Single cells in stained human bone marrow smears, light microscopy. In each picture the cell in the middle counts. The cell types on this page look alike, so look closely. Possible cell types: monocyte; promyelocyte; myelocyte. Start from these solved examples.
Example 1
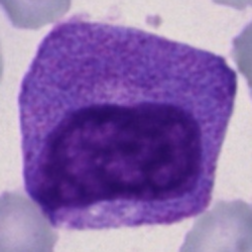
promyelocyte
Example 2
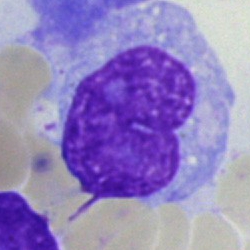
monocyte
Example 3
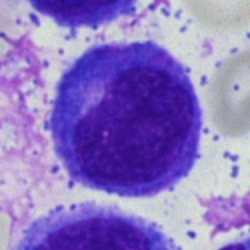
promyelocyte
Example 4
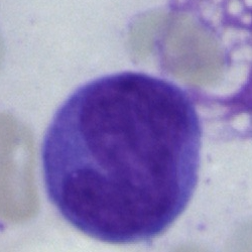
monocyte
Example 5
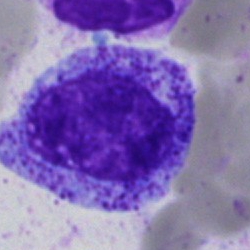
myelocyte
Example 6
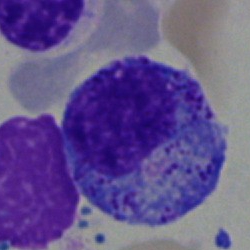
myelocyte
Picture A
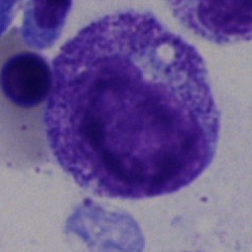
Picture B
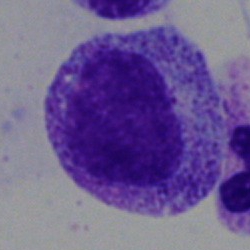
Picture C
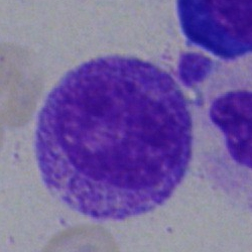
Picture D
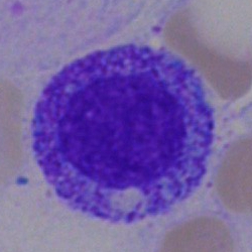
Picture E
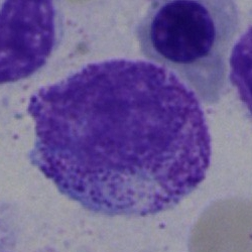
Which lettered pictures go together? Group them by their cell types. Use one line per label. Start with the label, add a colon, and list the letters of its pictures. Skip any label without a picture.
myelocyte: A, B, C, D, E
